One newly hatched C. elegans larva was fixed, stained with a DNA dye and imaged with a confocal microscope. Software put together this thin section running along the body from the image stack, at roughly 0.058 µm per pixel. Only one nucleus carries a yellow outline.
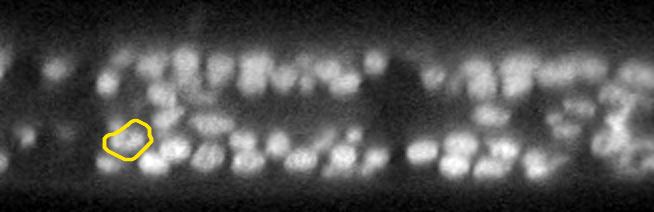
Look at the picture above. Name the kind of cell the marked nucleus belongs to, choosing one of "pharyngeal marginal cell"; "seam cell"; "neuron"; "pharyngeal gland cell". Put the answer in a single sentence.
The marked cell is a pharyngeal gland cell.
